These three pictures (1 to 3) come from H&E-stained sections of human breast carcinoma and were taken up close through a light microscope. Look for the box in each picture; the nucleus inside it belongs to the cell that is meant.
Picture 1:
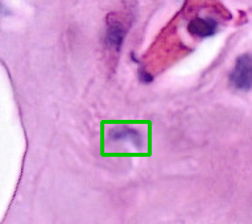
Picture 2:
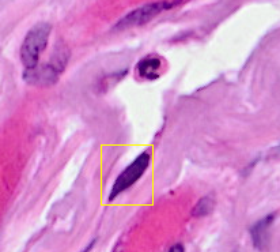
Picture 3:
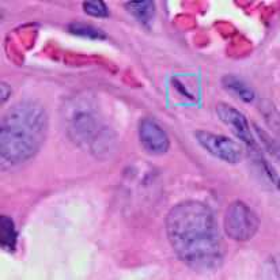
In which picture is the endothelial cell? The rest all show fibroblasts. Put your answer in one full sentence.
The cell in picture 3 is the endothelial cell.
